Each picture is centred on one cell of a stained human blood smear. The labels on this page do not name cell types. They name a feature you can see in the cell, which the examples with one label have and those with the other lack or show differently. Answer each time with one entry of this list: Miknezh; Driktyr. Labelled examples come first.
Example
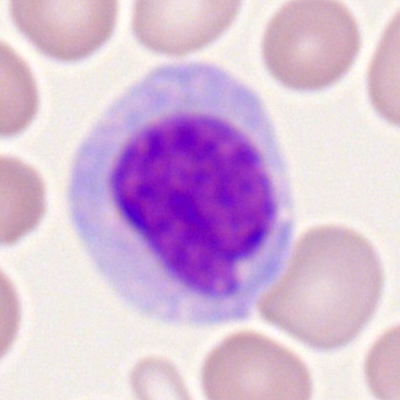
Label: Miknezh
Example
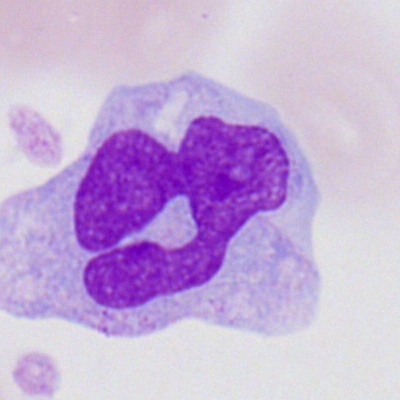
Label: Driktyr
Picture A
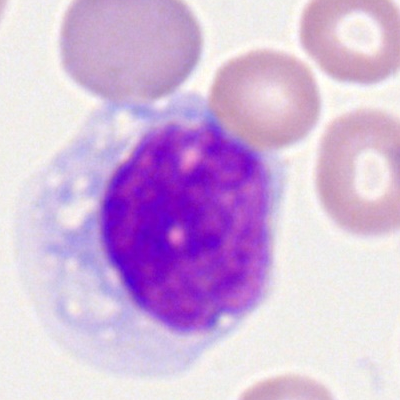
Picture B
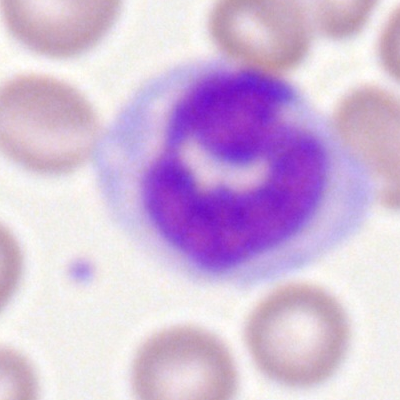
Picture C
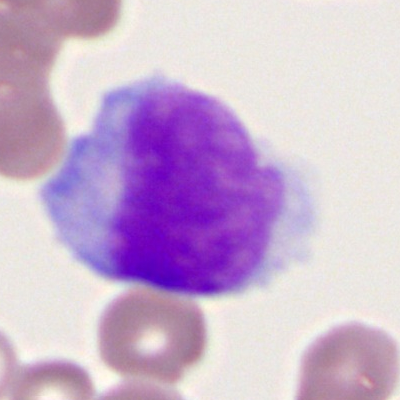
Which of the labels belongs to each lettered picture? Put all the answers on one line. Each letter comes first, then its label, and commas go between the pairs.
A Miknezh, B Driktyr, C Miknezh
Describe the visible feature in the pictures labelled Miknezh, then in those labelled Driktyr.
In Miknezh: round or oval nucleus. In Driktyr: band-shaped nucleus.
